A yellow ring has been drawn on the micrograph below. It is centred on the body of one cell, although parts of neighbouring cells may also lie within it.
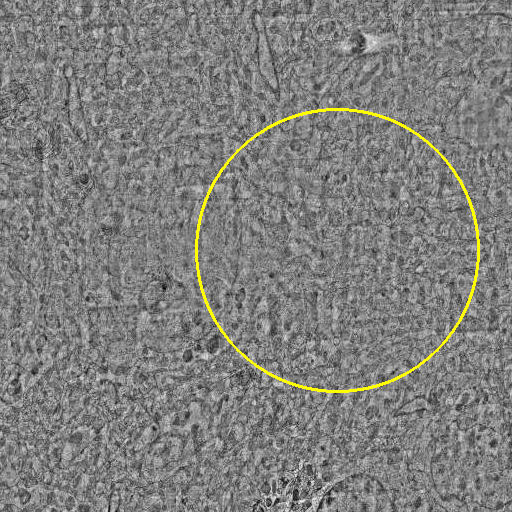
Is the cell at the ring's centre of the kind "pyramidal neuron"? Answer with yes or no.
yes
